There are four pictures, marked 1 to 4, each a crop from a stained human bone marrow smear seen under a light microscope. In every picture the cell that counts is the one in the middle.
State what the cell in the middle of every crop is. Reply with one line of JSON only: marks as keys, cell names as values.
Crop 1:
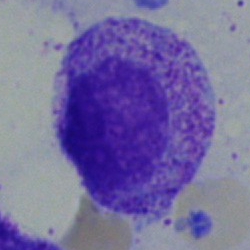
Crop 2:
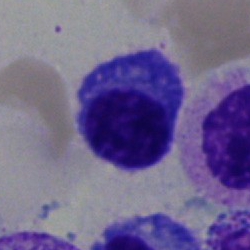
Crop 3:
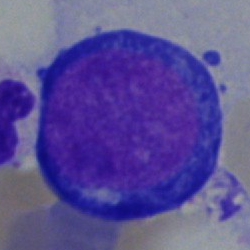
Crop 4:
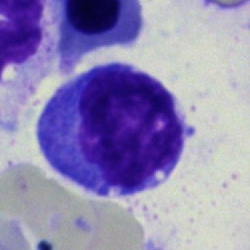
{"1": "myelocyte", "2": "plasma cell", "3": "proerythroblast", "4": "plasma cell"}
